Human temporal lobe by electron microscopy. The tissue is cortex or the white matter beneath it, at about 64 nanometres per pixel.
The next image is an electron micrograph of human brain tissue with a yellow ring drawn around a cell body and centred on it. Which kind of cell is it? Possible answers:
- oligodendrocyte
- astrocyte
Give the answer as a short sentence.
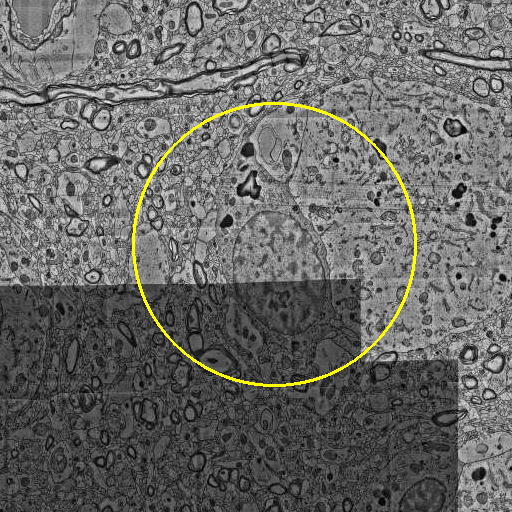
In the ring's centre is an oligodendrocyte.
